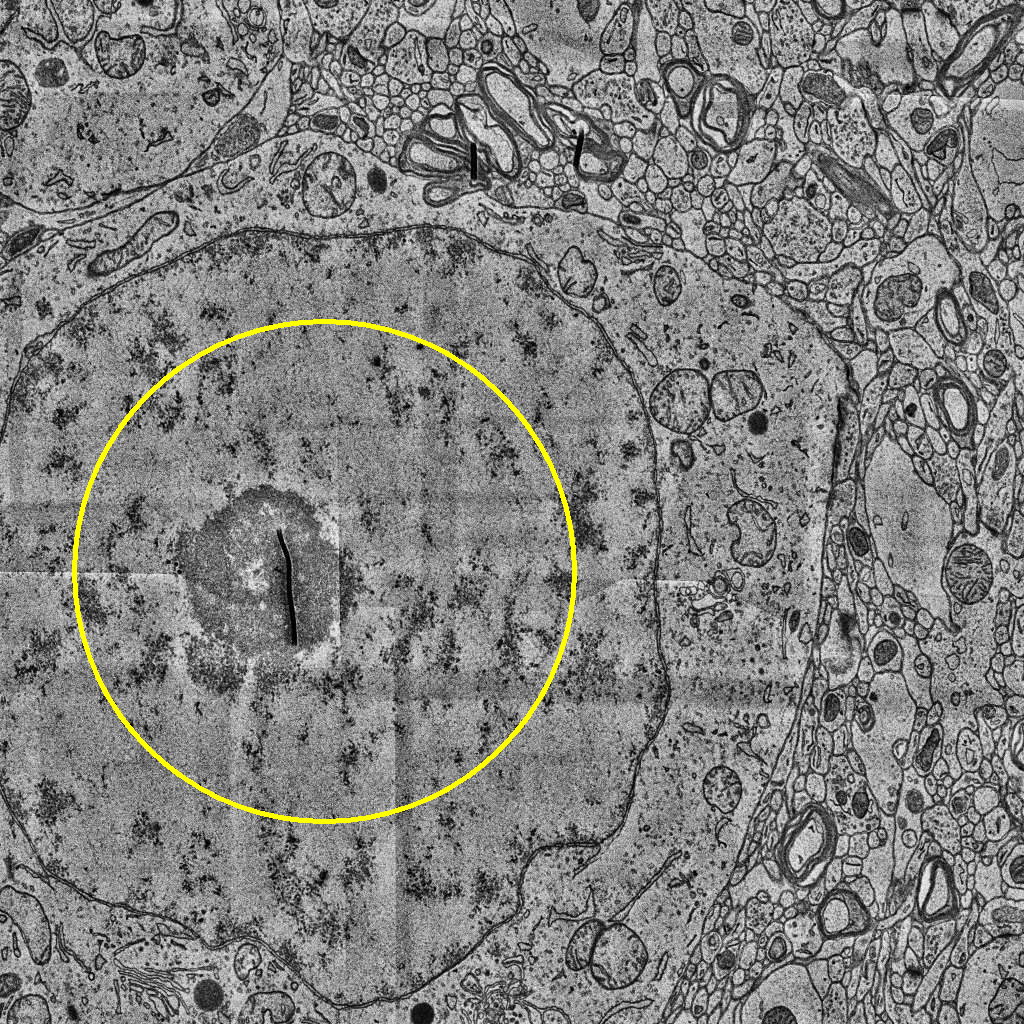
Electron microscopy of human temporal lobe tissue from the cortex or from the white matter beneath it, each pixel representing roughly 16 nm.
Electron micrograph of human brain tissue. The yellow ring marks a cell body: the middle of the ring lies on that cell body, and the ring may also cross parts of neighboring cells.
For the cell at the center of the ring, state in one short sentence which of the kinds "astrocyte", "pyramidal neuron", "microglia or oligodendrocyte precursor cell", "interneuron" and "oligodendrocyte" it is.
This ring's center lies on a pyramidal neuron.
